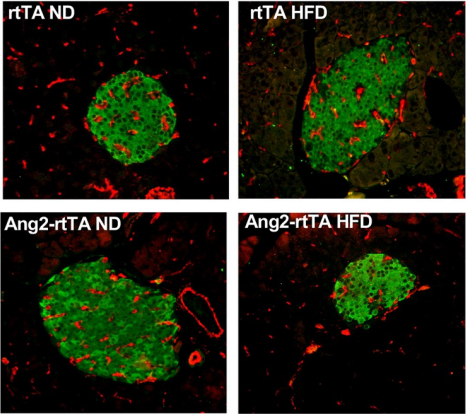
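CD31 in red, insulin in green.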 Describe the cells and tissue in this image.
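Four fields of pancreas each show a compact, rounded islet of tightly packed cells with green cytoplasm and dark, unstained nuclei. The islet sits in darker surrounding tissue. Thin, elongated and branching red capillary profiles thread between the green cells, and more red vessels, some cut across as rings with open lumens, lie in the surrounding tissue.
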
